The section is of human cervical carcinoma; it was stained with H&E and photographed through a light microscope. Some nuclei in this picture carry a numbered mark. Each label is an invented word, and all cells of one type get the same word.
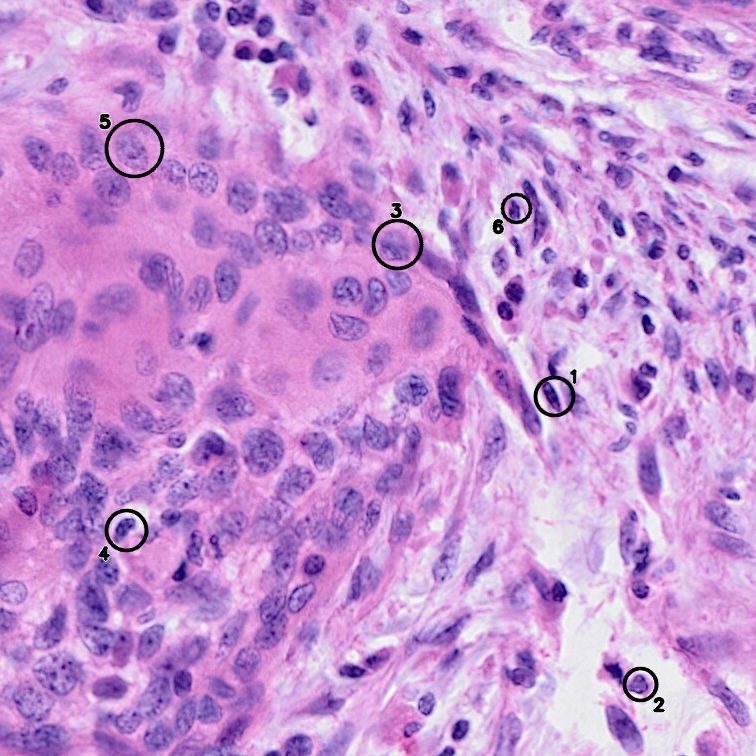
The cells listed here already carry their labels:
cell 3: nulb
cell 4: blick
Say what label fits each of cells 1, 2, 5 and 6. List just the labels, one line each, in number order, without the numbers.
blick
blick
nulb
blick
